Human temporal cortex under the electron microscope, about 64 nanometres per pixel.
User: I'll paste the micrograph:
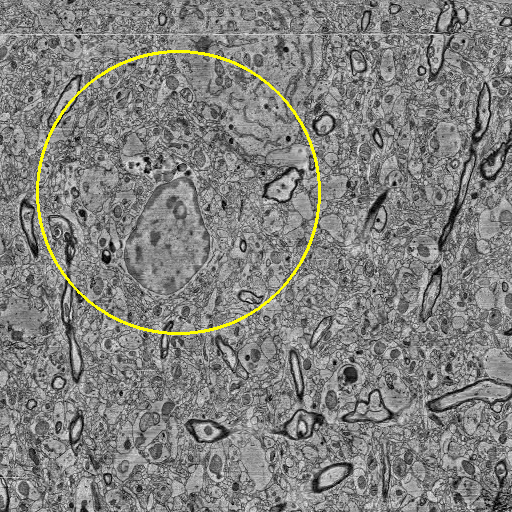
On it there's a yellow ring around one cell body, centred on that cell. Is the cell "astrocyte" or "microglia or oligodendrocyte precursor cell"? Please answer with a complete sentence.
The cell ringed in yellow is a microglial cell or oligodendrocyte precursor cell.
